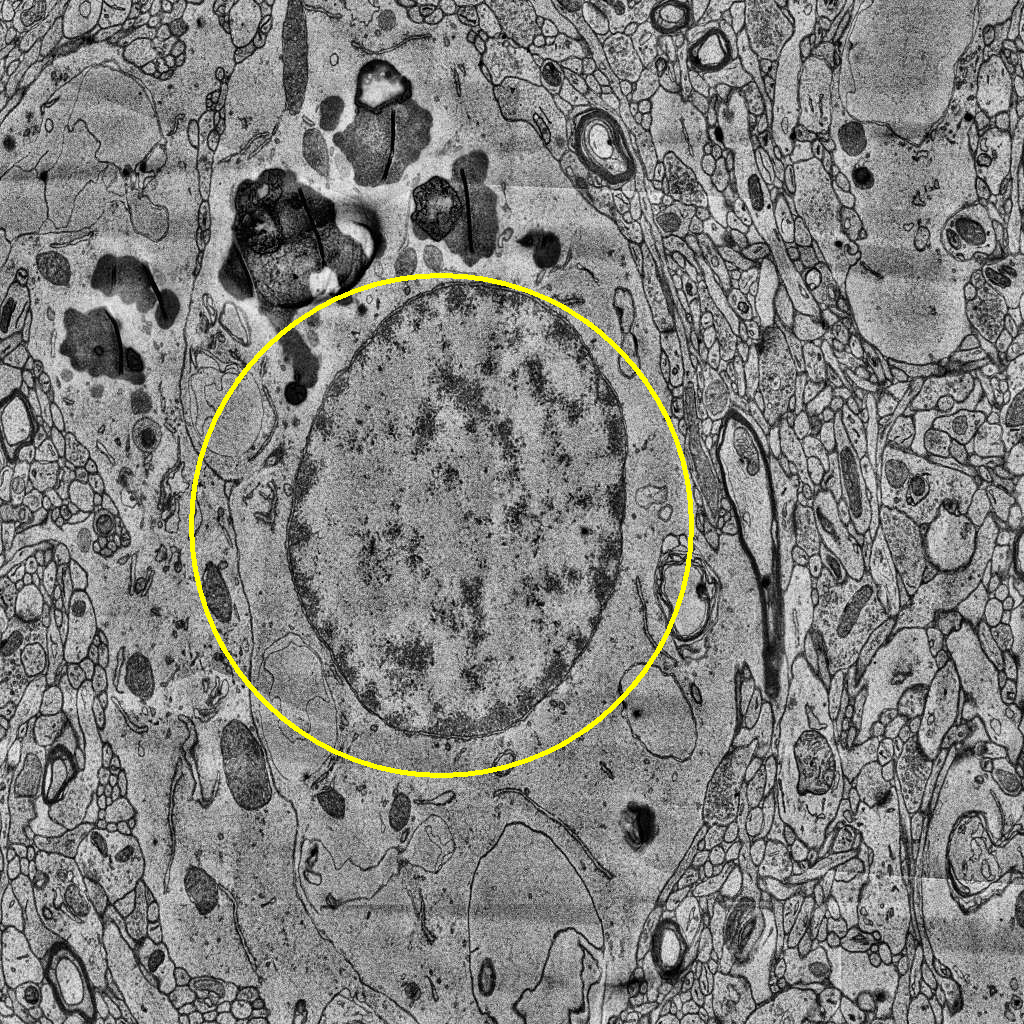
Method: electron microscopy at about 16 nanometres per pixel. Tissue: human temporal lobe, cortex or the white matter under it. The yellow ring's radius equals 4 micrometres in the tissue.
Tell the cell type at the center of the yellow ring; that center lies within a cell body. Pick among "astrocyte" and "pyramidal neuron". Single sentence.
The ring's center lies in the body of an astrocyte.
